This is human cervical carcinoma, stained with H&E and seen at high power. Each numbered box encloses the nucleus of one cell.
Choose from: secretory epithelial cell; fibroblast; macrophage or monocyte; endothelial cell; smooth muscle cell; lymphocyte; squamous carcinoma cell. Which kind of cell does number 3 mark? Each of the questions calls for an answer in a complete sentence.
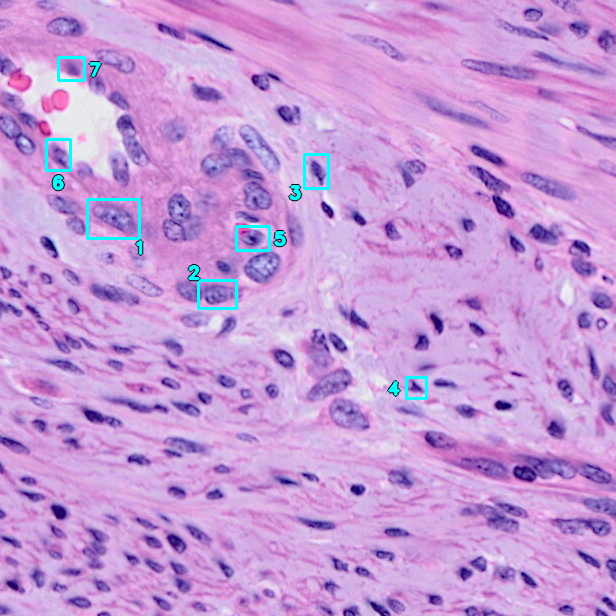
Classified as a fibroblast is the cell with the number 3.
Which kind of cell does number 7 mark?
The correct label for cell 7 is an endothelial cell.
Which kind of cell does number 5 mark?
In this section, the cell numbered 5 is an endothelial cell.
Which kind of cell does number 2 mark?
The numbered cell 2 in this field is a smooth muscle cell.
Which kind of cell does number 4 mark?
The cell that carries the label 4 is a fibroblast.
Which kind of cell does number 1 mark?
Looking at the numbered marks, cell 1 is a smooth muscle cell.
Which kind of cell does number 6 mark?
The nucleus labelled 6 belongs to an endothelial cell.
